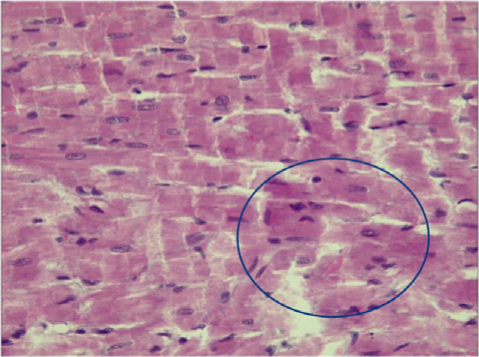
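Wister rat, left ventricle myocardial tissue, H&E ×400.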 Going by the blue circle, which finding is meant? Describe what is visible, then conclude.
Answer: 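Within the circle the fiber boundaries are indistinct. Within the circle the pink cytoplasm appears fused into a darker patch with crowded nuclei.
“merged” myofibers.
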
